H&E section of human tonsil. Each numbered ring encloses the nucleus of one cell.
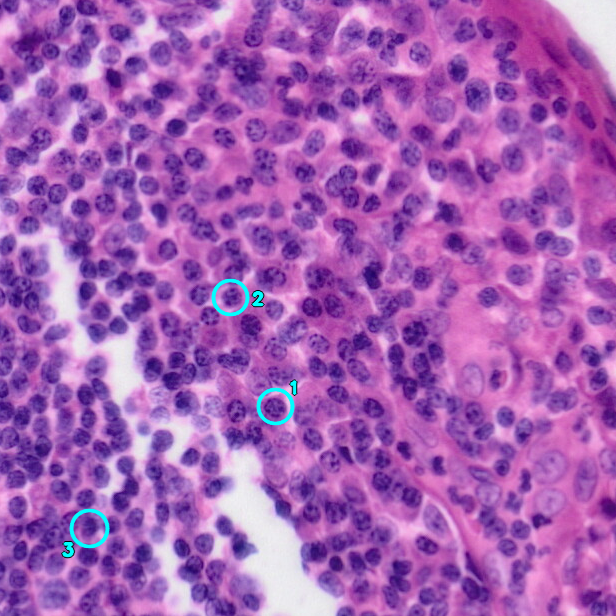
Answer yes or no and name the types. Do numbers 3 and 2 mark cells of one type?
No, sorry, cell 3 is a small lymphocyte and cell 2 is a plasma cell.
